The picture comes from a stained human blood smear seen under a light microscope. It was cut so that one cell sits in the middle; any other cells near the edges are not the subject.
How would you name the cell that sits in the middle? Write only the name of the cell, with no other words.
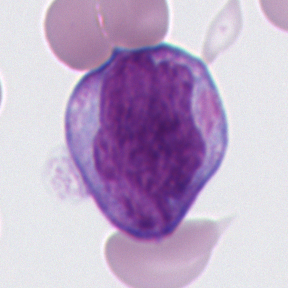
atypical promyelocyte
